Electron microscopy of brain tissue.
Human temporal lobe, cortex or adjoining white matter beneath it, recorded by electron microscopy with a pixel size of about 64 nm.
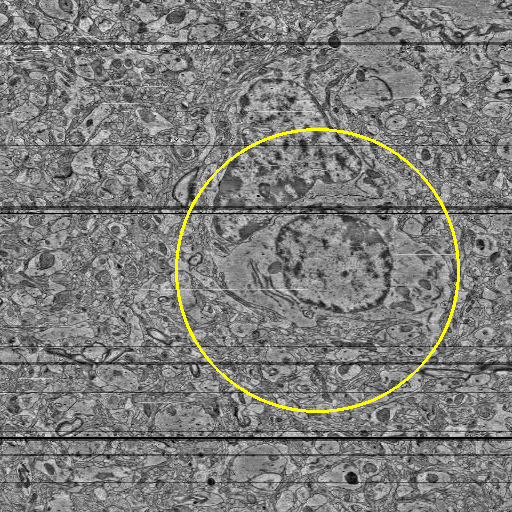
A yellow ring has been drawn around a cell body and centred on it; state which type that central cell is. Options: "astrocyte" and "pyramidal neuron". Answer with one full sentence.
The cell at the middle of the yellow ring is an astrocyte in this picture.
